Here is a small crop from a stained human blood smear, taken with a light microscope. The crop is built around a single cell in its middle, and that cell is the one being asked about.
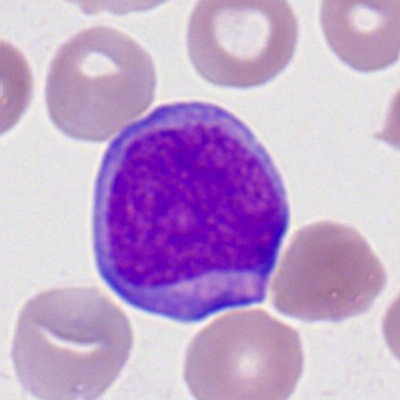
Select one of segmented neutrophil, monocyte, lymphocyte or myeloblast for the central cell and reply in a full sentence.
Centred in the crop is a myeloblast.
